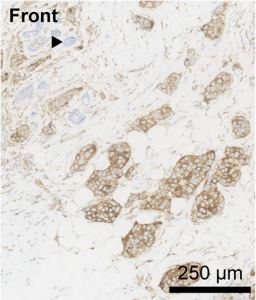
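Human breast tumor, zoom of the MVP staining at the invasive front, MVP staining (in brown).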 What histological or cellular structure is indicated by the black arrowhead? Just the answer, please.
Normal mammary glands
